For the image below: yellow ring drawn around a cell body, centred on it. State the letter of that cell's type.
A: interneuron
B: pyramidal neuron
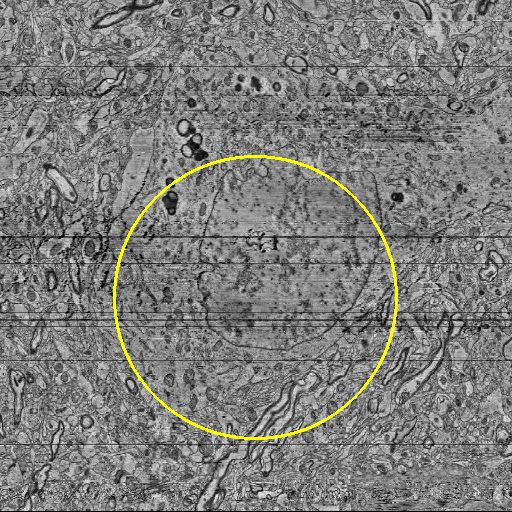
B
